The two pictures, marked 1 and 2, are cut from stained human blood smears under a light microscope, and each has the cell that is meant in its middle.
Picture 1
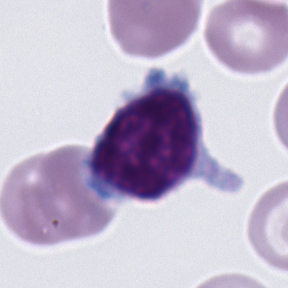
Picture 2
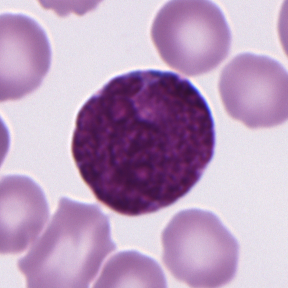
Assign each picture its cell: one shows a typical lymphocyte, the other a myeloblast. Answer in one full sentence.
The cell in picture 1 is a typical lymphocyte, and the one in picture 2 is a myeloblast.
